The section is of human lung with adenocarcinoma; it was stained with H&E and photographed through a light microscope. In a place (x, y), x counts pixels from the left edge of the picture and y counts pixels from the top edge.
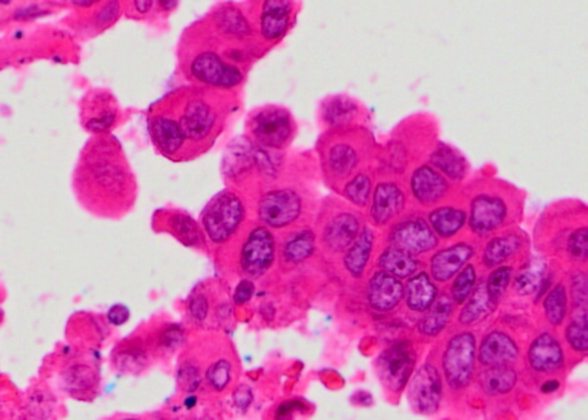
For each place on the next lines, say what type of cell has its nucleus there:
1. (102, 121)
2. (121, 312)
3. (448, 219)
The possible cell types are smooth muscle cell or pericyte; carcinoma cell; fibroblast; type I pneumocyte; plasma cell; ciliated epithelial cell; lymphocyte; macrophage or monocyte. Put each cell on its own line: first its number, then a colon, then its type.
1: macrophage or monocyte
2: lymphocyte
3: carcinoma cell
